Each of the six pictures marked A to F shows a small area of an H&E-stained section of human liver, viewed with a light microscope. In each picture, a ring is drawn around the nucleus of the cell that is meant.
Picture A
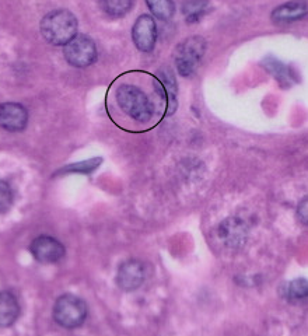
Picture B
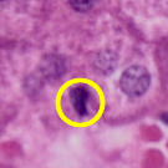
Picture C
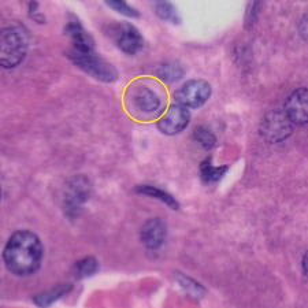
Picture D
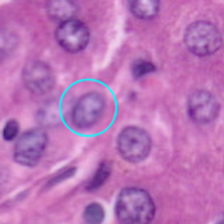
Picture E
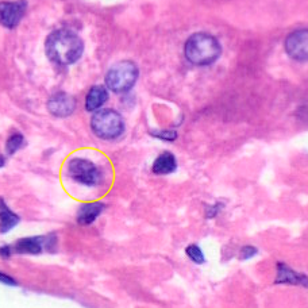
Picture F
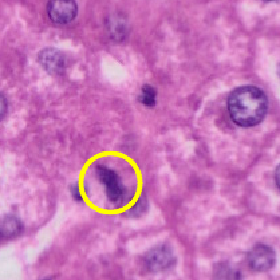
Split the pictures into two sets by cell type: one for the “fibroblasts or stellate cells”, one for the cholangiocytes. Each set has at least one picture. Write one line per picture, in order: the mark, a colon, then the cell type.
A: cholangiocyte
B: fibroblast or stellate cell
C: cholangiocyte
D: cholangiocyte
E: fibroblast or stellate cell
F: fibroblast or stellate cell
